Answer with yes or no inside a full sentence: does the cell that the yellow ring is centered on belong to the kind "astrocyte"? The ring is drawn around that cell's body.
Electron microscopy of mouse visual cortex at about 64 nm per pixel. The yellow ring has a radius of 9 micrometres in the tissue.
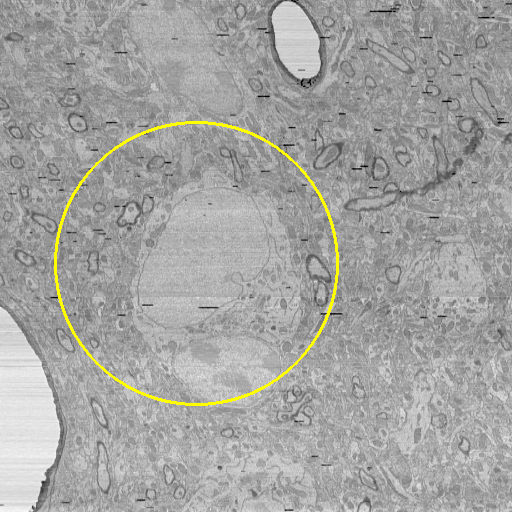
No, another kind describes the cell the yellow ring is centered on in the picture.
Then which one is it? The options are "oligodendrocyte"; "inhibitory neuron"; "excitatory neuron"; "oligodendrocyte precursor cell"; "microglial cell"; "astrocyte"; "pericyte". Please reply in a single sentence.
The cell marked by the ring is an excitatory neuron.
